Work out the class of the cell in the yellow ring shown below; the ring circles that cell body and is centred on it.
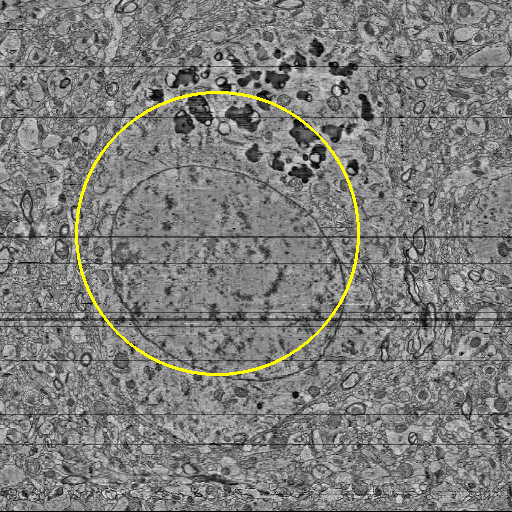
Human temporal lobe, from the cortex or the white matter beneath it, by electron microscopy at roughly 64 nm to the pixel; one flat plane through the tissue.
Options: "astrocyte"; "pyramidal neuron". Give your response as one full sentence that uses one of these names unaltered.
The body ringed in yellow, right at the ring's centre, is that of a pyramidal neuron.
